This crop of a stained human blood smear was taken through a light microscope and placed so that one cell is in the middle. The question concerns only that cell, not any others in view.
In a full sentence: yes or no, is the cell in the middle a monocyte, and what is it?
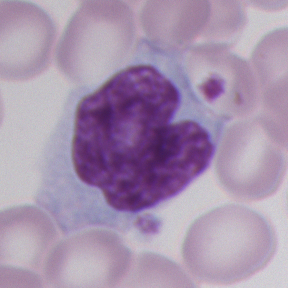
Yes, the cell of interest in the centre is a monocyte.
